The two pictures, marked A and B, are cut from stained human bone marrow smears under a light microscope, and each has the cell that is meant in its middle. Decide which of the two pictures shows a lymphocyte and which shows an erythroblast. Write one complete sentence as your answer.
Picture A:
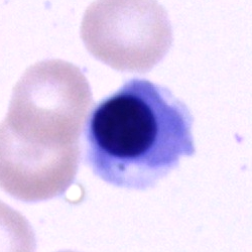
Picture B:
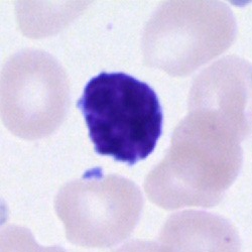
The cell in picture A is an erythroblast, and the one in picture B is a lymphocyte.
